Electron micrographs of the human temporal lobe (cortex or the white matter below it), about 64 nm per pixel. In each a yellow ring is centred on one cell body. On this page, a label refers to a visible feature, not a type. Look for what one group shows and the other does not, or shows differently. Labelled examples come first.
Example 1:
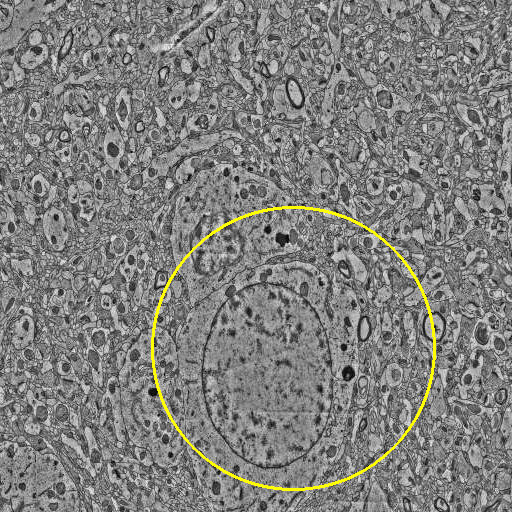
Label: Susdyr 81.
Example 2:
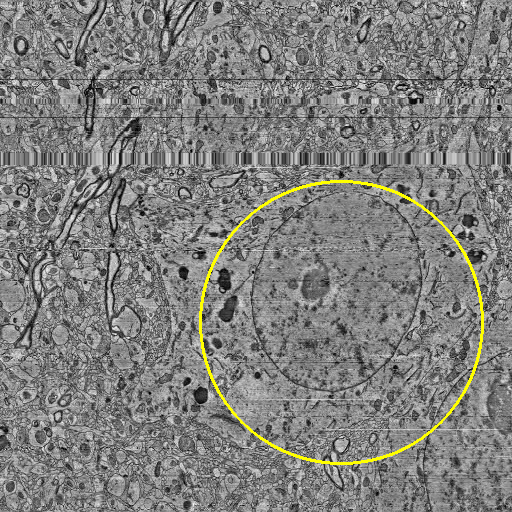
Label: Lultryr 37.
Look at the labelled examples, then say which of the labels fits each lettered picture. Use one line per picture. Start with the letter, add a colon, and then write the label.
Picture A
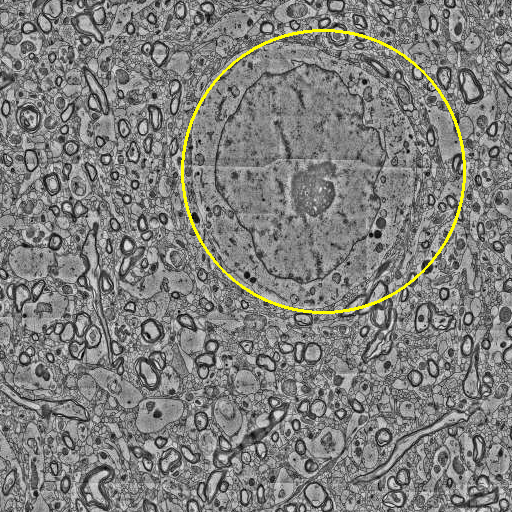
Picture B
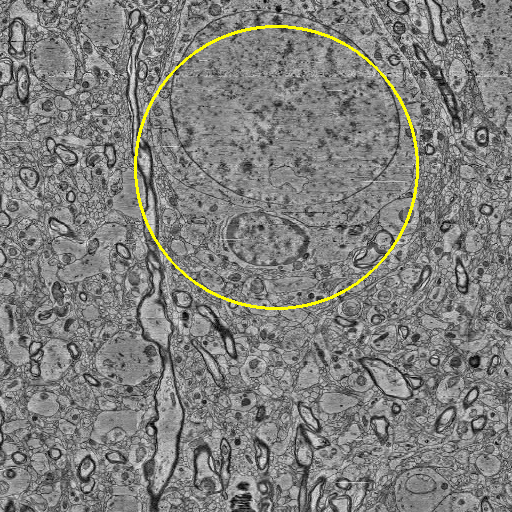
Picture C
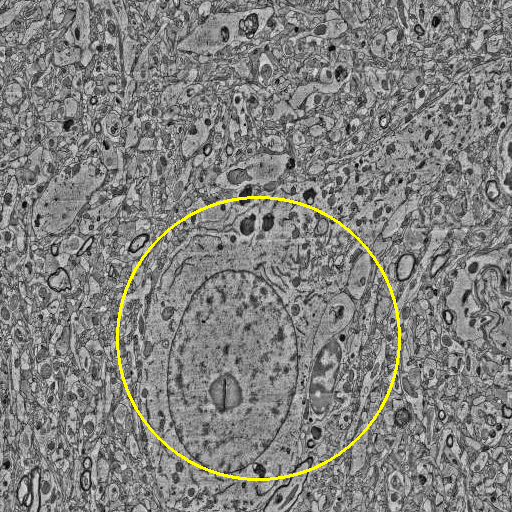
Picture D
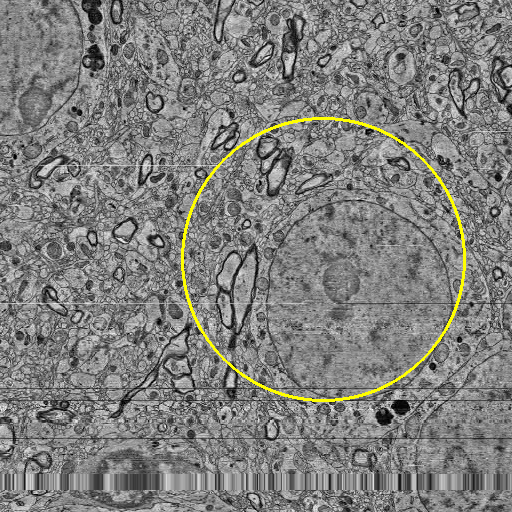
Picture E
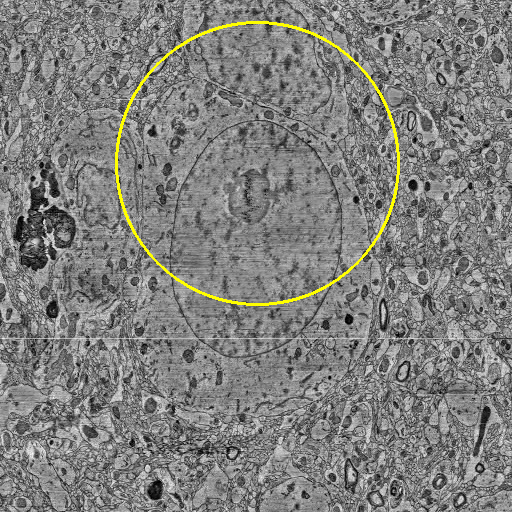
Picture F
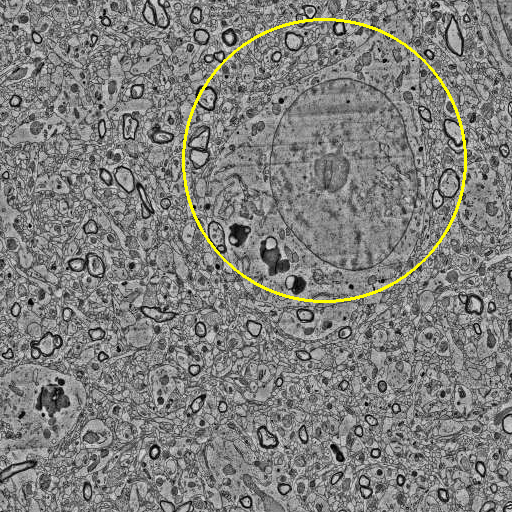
A: Lultryr 37.
B: Susdyr 81.
C: Lultryr 37.
D: Lultryr 37.
E: Lultryr 37.
F: Lultryr 37.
